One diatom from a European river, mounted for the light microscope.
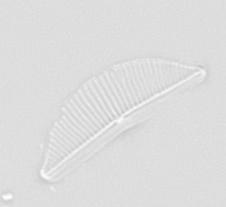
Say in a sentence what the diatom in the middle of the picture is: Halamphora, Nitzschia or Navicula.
This is Halamphora.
